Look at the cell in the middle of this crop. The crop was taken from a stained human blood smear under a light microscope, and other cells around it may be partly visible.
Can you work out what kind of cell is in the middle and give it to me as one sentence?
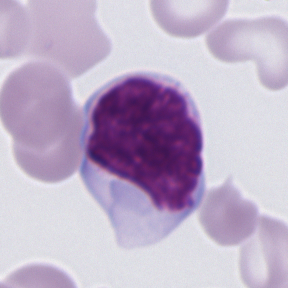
The cell at the middle of the crop is recognized as a large granular lymphocyte.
